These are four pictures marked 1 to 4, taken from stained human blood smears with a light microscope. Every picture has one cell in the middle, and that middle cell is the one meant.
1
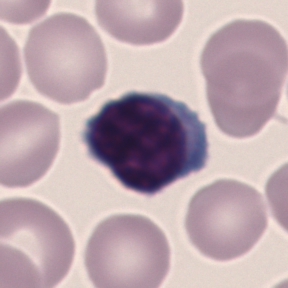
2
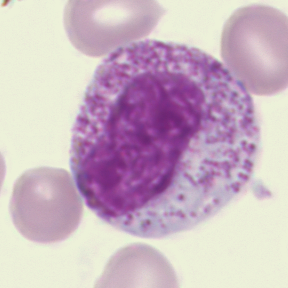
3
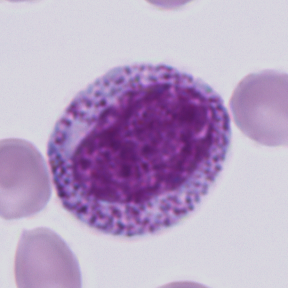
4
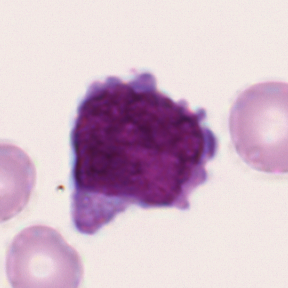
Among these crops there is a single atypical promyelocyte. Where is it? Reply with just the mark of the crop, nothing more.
4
